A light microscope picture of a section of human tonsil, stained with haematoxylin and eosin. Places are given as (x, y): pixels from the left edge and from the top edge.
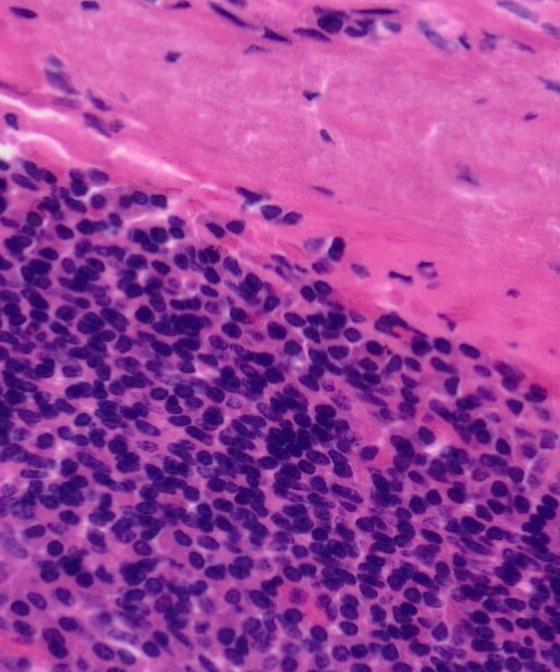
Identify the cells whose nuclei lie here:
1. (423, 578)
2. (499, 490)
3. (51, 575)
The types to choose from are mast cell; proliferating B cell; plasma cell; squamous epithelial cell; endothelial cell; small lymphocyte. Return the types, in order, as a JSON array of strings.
["small lymphocyte", "plasma cell", "plasma cell"]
